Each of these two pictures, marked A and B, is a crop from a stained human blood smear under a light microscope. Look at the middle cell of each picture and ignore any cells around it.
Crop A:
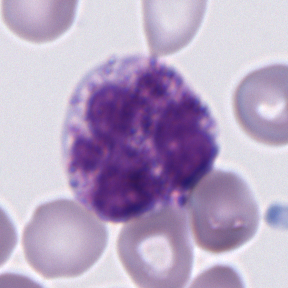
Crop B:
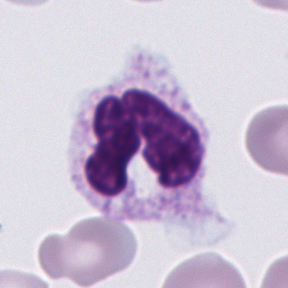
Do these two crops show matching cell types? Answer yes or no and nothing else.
no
